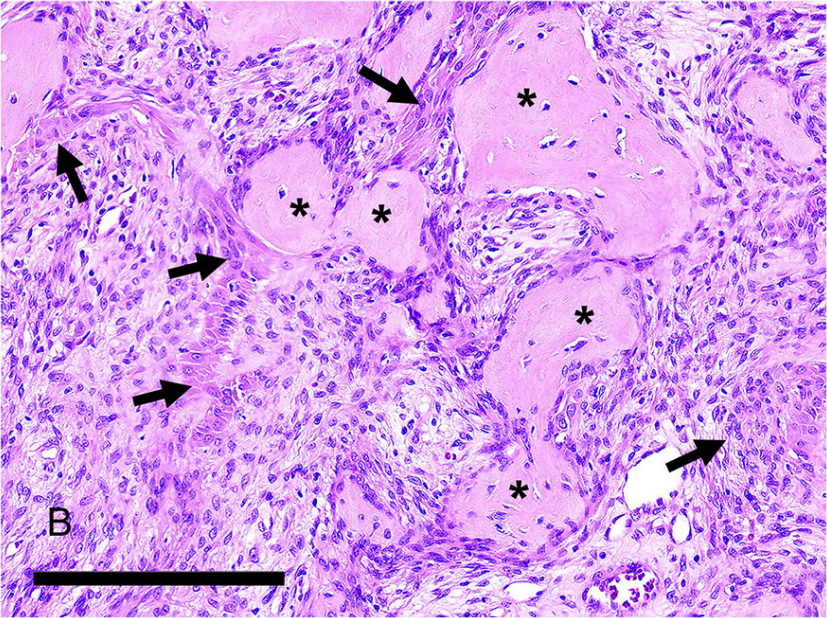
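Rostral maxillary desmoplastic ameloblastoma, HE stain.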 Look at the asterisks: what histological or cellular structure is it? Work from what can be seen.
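Rounded islands of homogeneous pale pink matrix. Few small cells lie in lacuna-like spaces within the matrix. The islands are surrounded by densely cellular tissue.
Conclusion: osseous islands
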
